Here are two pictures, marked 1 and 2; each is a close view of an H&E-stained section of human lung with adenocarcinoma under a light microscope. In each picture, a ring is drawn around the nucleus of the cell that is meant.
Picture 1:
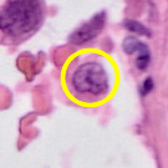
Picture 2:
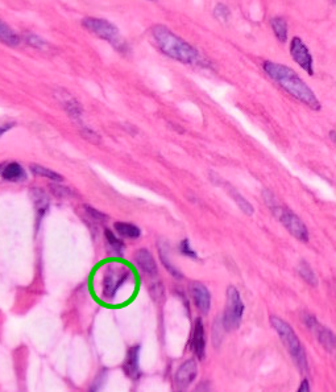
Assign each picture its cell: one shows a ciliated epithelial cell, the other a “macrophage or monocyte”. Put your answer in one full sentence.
Picture 1 is of a “macrophage or monocyte”, and picture 2 is of a ciliated epithelial cell.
